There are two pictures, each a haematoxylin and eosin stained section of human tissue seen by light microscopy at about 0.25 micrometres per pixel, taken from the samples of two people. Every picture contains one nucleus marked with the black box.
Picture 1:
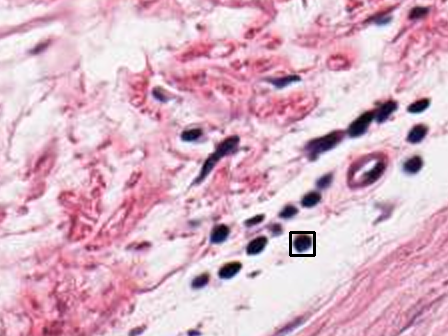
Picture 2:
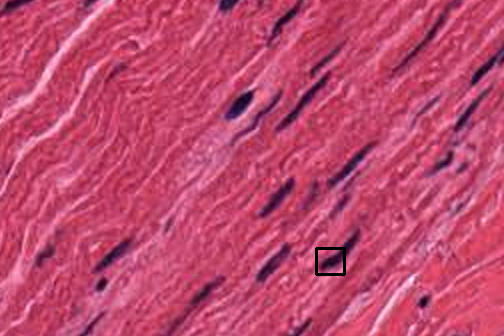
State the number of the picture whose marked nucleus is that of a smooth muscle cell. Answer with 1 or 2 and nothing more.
2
